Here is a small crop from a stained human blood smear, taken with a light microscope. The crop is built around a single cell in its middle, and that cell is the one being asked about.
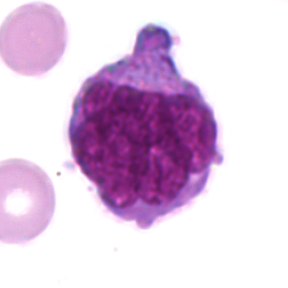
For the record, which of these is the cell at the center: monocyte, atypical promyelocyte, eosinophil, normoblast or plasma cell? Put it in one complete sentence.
The identification for the central cell is an atypical promyelocyte.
